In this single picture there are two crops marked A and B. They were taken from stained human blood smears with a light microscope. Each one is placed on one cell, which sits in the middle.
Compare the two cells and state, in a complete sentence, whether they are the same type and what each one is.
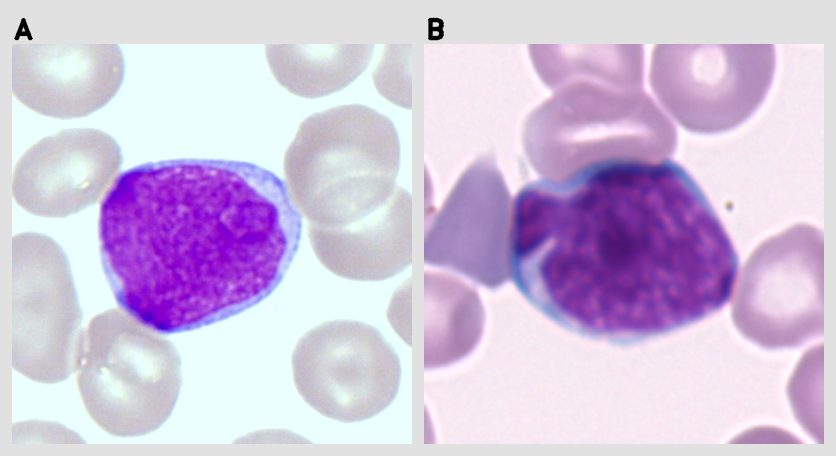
Yes, both crops are centred on blasts.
